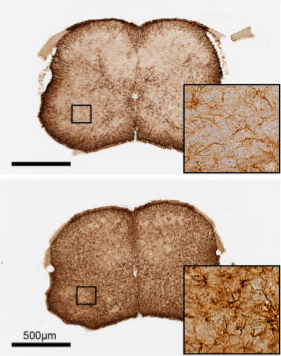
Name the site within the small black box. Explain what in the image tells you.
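The small box lies in the lower lateral part of the grey matter of the cross section. The answer: ventral horn.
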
